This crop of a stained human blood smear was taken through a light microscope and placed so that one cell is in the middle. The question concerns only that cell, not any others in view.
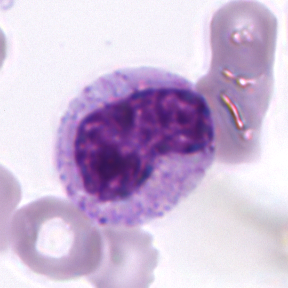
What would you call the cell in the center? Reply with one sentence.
As for the cell in the middle, it is a metamyelocyte.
